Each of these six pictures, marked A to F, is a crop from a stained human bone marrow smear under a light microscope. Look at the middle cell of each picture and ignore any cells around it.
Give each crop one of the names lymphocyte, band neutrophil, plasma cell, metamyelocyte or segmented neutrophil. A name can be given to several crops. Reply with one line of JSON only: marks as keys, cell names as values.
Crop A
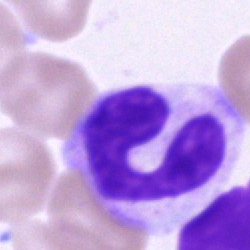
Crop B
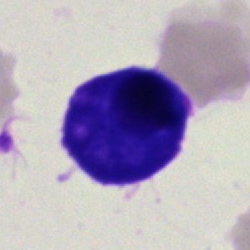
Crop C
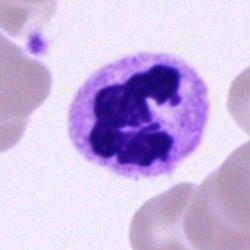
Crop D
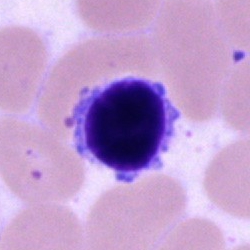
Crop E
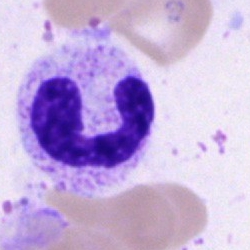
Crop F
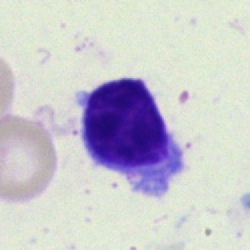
{"A": "band neutrophil", "B": "plasma cell", "C": "segmented neutrophil", "D": "lymphocyte", "E": "band neutrophil", "F": "lymphocyte"}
